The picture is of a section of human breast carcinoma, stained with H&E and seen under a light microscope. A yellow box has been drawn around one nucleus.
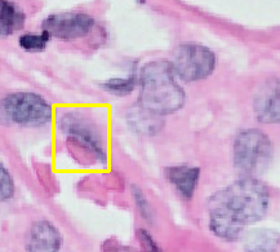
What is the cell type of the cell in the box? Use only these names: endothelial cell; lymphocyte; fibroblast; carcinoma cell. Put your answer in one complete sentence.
Cell type answer for this item: the cell in the box is an endothelial cell.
